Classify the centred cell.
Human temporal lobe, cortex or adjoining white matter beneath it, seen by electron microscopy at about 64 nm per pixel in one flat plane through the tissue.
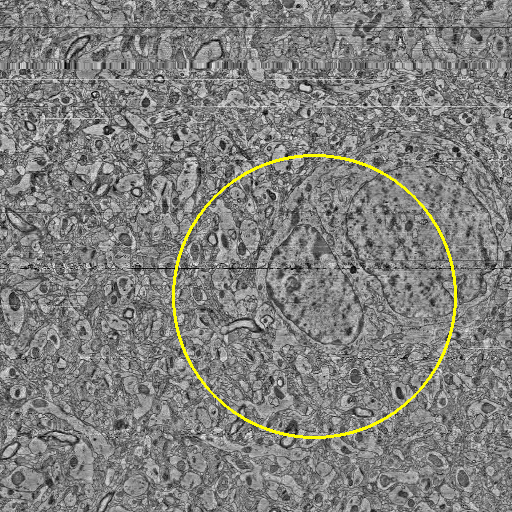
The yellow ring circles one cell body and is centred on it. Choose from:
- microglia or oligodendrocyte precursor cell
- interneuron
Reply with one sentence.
The ring is centred on a microglial cell or oligodendrocyte precursor cell.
